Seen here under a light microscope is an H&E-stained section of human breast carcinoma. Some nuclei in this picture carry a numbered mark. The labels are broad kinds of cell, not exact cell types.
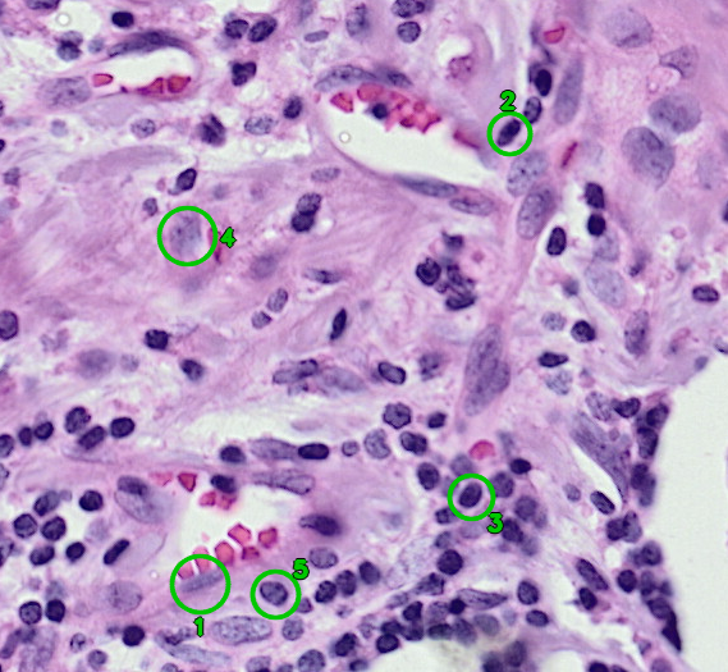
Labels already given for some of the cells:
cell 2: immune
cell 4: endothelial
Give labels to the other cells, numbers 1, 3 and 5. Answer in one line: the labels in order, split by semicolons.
endothelial; immune; immune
